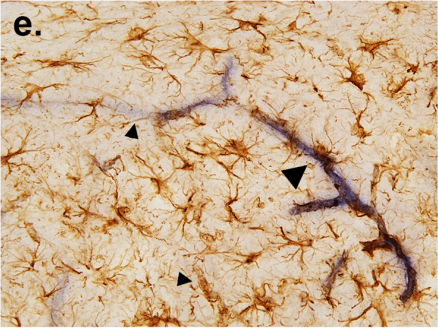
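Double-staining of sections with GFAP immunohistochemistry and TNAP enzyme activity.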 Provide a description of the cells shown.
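This section shows many brown star-shaped astrocytes spread evenly across the field together with a branching blood vessel. The astrocytes have small dark bodies and numerous fine radiating processes. The vessel runs as a long winding tube across the middle and right of the field, stained blue-purple. Along part of its length the vessel is dark, with brown overlapping the blue. Fainter blue tubular profiles appear elsewhere in the field.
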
